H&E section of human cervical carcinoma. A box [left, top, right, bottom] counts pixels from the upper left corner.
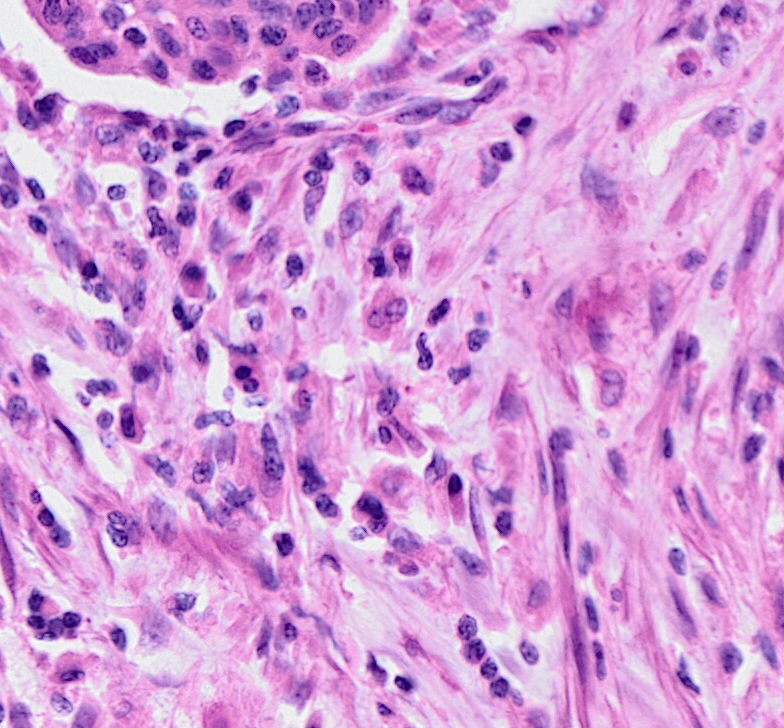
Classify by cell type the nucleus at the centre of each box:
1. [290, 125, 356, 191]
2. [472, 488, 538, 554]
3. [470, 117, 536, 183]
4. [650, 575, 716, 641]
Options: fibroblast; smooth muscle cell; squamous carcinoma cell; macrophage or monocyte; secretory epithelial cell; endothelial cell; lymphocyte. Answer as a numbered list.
1. lymphocyte
2. lymphocyte
3. lymphocyte
4. fibroblast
